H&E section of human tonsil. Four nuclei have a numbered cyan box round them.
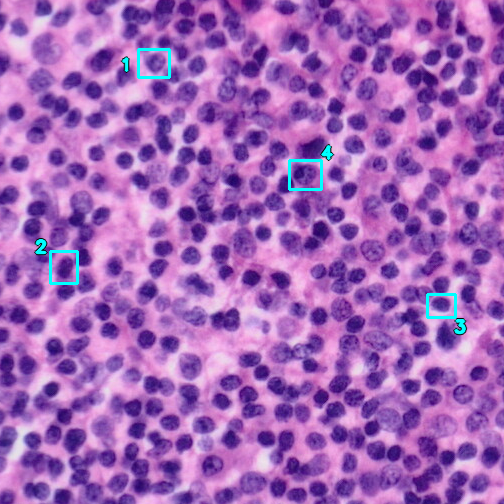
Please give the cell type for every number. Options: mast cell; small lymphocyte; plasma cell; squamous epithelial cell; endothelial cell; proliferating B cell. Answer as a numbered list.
1. small lymphocyte
2. small lymphocyte
3. small lymphocyte
4. plasma cell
